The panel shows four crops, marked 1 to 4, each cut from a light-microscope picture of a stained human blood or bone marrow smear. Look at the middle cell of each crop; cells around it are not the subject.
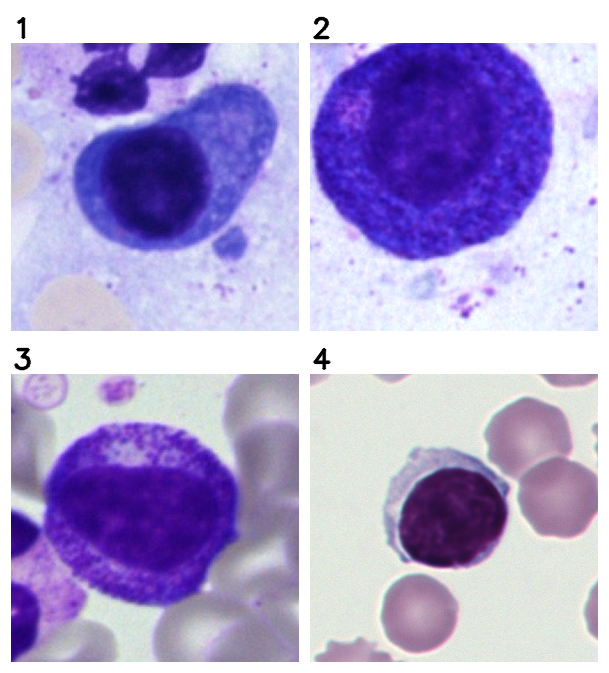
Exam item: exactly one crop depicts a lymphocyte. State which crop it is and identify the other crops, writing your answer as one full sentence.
What crop 4 shows is a lymphocyte, while crop 1 is a plasma cell, crop 2 is a promyelocyte and crop 3 is a myelocyte.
